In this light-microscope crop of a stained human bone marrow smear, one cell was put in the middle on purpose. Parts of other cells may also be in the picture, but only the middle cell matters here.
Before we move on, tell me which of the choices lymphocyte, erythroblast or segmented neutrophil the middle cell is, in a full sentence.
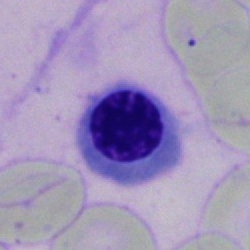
At the middle of the frame sits an erythroblast.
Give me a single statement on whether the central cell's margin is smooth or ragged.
Nothing juts out from the margin, which is smooth throughout.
